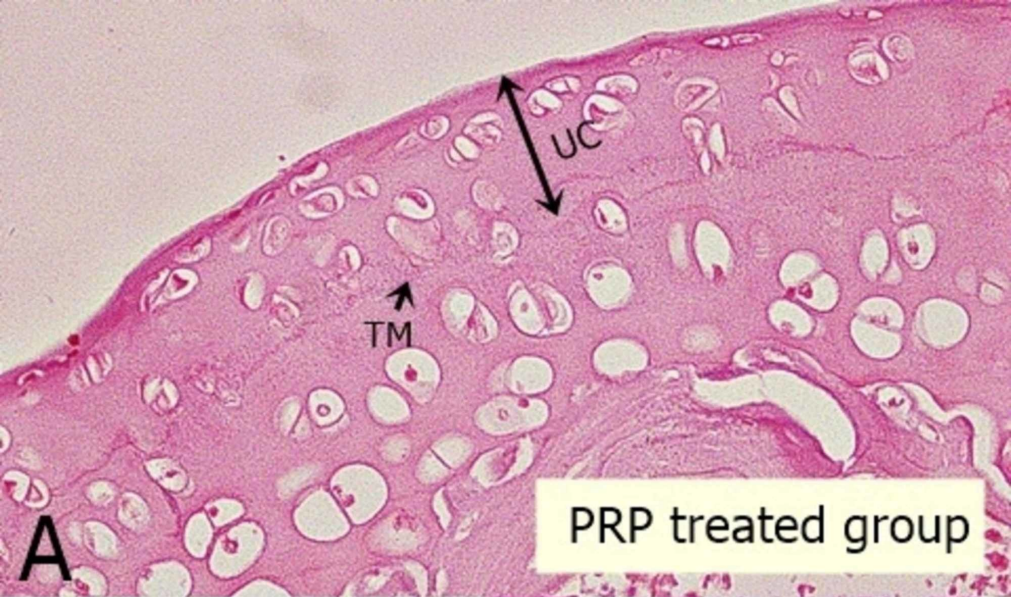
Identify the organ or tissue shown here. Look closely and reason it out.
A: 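A smooth free surface borders an empty joint space. A pink matrix holds cells in lacunae beneath the surface.
Hence: articular cartilage.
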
